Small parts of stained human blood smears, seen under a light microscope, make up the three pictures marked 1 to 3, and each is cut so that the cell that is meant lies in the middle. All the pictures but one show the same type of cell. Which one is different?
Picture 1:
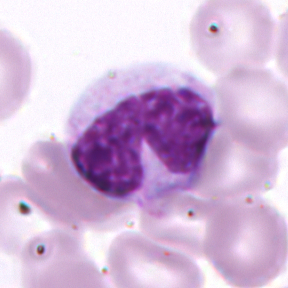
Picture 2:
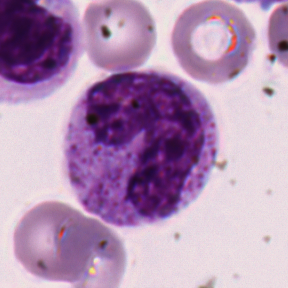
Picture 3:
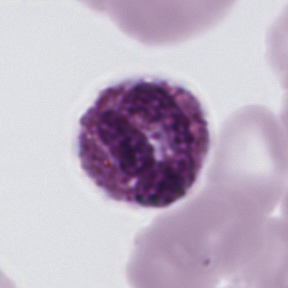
3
